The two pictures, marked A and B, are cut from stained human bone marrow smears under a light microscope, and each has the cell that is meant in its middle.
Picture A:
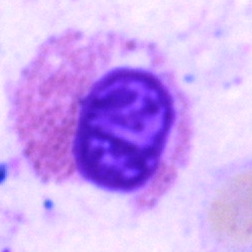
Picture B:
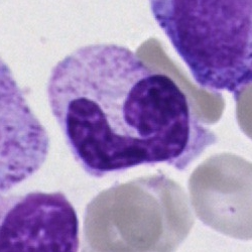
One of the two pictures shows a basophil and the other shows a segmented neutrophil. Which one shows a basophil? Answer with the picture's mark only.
A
